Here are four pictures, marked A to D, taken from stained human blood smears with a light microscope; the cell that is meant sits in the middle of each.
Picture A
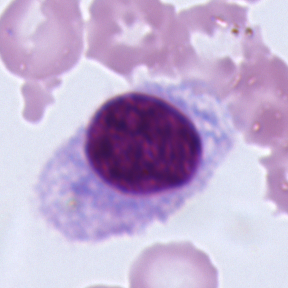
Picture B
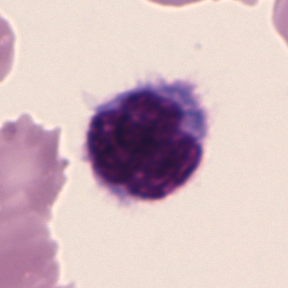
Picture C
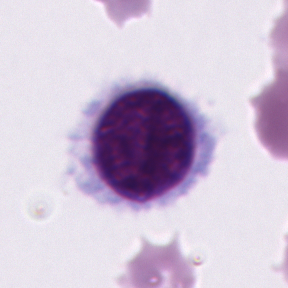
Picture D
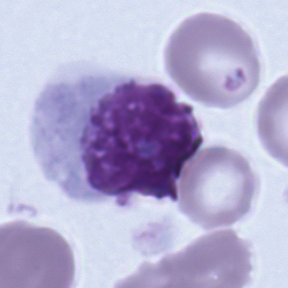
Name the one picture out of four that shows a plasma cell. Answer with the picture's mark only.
D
